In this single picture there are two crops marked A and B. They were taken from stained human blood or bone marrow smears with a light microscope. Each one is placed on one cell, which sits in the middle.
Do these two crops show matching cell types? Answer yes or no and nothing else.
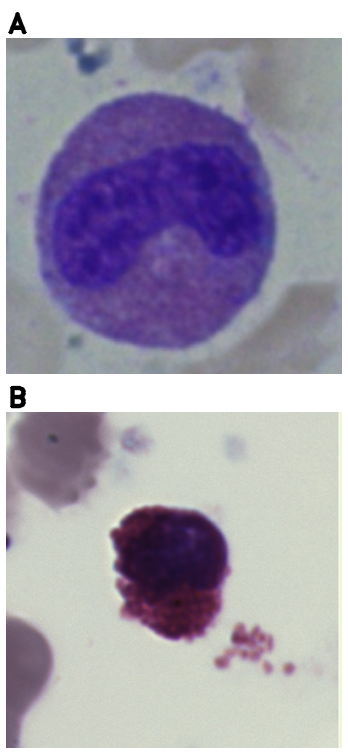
yes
